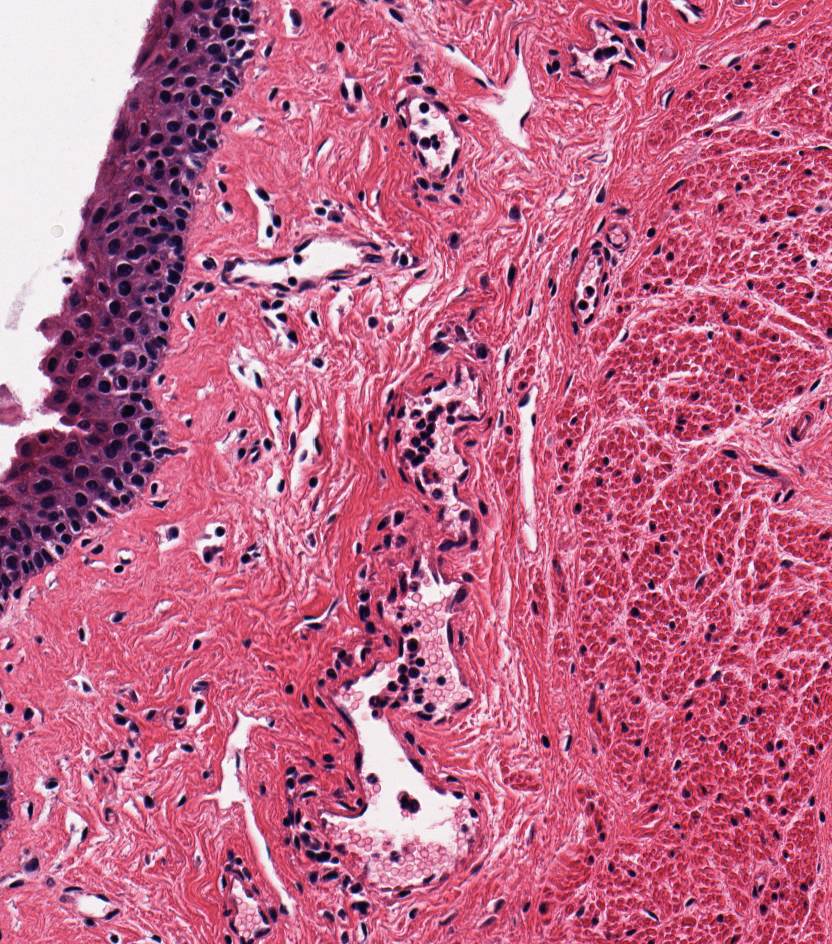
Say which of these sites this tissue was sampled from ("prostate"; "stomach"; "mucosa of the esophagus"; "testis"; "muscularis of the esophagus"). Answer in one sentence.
The site this tissue was sampled from is the mucosa of the esophagus.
